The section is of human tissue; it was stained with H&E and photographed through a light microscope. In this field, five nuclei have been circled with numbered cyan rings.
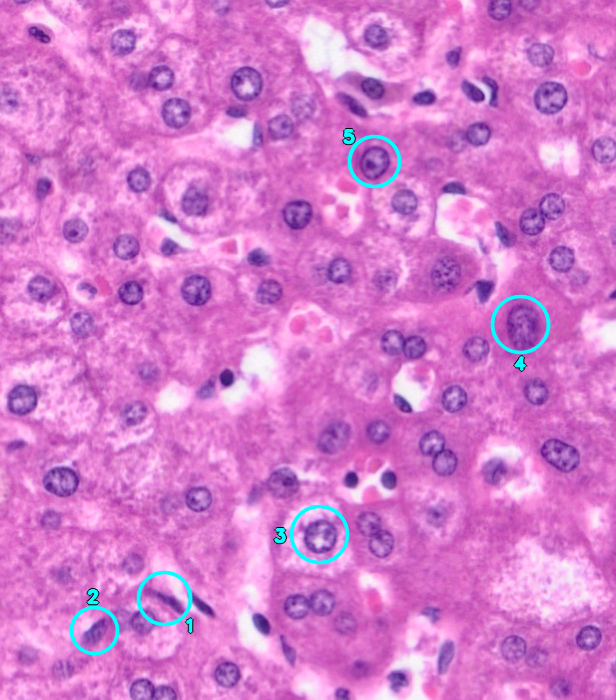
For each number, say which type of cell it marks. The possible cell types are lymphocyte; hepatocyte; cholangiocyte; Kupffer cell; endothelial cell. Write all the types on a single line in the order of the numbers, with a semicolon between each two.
Kupffer cell; endothelial cell; hepatocyte; hepatocyte; hepatocyte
